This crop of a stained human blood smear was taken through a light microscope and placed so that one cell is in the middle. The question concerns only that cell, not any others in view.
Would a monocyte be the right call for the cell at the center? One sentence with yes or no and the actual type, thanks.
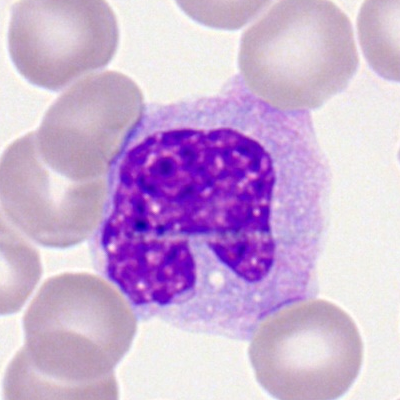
Yes, the cell at the midpoint of the crop is a monocyte.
